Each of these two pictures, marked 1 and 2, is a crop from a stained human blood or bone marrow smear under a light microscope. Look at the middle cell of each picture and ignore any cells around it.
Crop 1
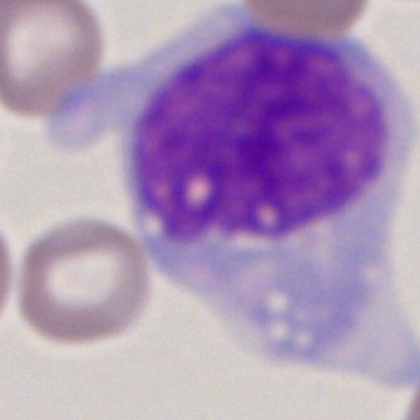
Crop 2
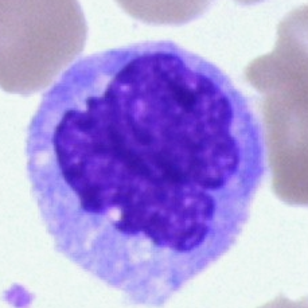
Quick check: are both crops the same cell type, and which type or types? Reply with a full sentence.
Yes, in both of the crops, the central cells are monocytes.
